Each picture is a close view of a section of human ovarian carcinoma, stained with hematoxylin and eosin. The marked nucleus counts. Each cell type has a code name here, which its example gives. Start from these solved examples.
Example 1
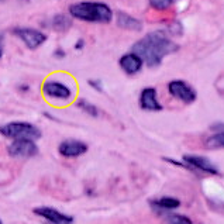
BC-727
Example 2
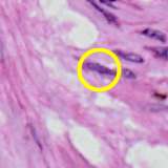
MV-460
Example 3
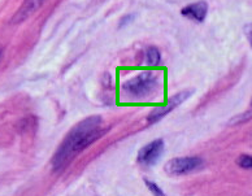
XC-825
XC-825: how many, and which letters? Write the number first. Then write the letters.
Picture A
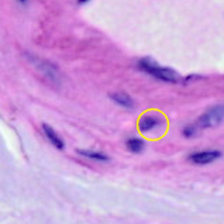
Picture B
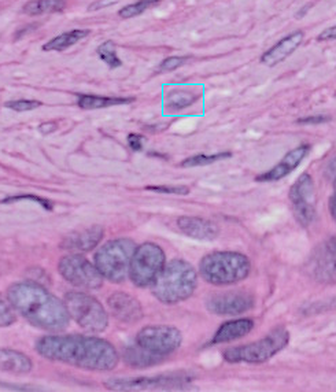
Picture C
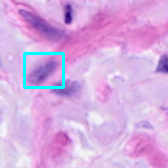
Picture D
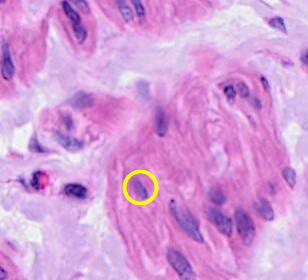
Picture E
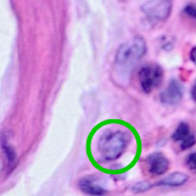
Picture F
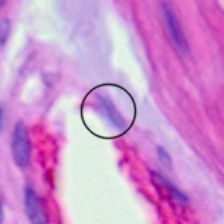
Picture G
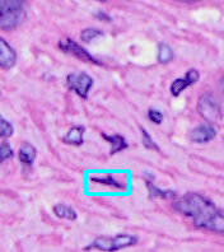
2, namely E, F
